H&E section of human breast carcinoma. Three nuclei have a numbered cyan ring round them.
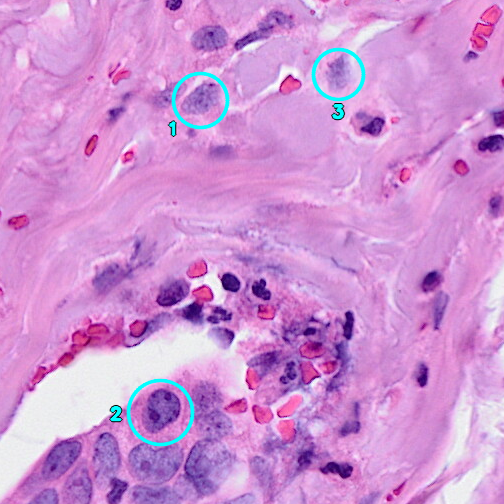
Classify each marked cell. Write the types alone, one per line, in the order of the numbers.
fibroblast
carcinoma cell
fibroblast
